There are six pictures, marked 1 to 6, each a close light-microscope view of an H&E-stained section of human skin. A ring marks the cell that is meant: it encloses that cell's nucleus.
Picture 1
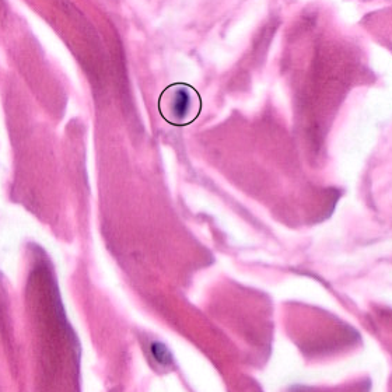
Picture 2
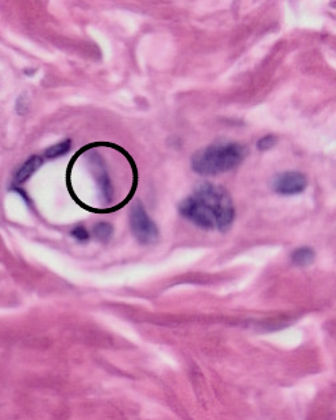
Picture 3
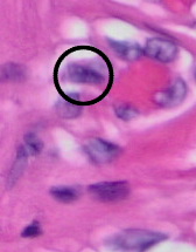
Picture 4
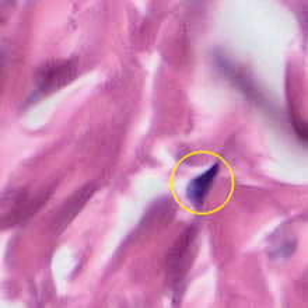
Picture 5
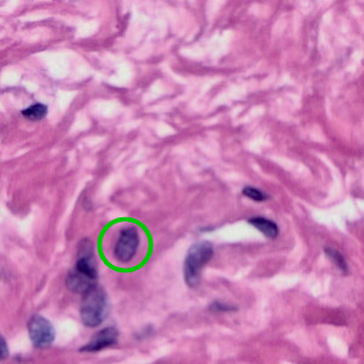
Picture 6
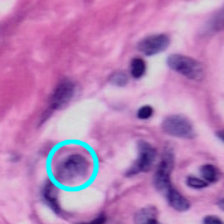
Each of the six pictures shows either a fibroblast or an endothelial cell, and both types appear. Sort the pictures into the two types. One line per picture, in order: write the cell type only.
fibroblast
endothelial cell
endothelial cell
fibroblast
endothelial cell
endothelial cell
